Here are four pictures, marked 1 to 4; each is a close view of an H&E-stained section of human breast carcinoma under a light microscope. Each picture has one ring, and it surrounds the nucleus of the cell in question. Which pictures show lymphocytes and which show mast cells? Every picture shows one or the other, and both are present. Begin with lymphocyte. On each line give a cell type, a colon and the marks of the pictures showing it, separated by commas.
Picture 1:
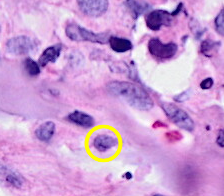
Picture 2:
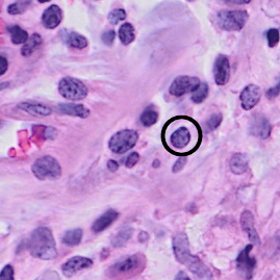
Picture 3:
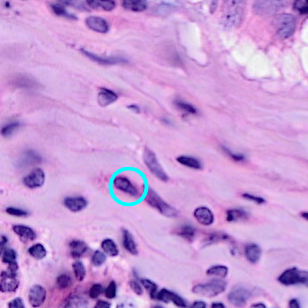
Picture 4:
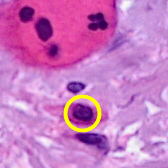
lymphocyte: 2
mast cell: 1, 3, 4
